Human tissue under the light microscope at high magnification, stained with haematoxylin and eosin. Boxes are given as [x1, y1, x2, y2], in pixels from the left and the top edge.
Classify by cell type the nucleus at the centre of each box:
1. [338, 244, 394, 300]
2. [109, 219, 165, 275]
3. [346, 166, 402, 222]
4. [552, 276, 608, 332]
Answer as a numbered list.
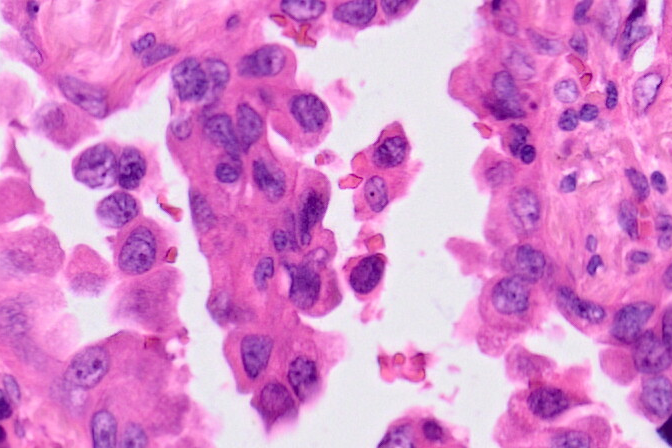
1. carcinoma cell
2. carcinoma cell
3. macrophage or monocyte
4. carcinoma cell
